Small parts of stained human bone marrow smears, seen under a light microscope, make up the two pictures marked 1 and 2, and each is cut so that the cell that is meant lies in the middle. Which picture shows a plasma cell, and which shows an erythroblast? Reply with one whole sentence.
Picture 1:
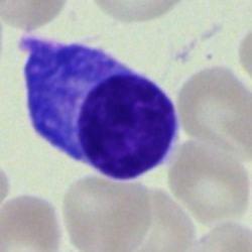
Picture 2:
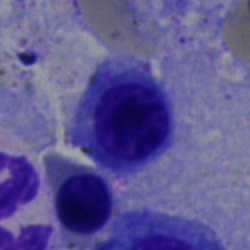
Picture 1 shows a plasma cell and picture 2 shows an erythroblast.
